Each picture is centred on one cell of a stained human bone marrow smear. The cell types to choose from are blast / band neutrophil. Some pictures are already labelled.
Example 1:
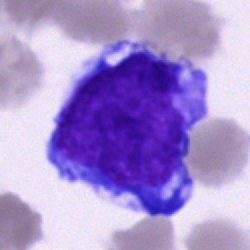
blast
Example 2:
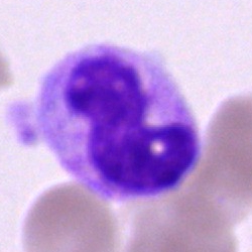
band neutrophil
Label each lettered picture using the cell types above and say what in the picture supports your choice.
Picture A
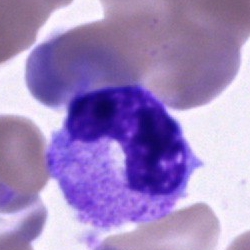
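band neutrophil. Evidence: The chromatin is dark purple and coarsely clumped.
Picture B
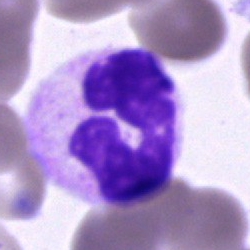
band neutrophil. Evidence: The nucleus is curved into a C shape, with its opening facing left.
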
